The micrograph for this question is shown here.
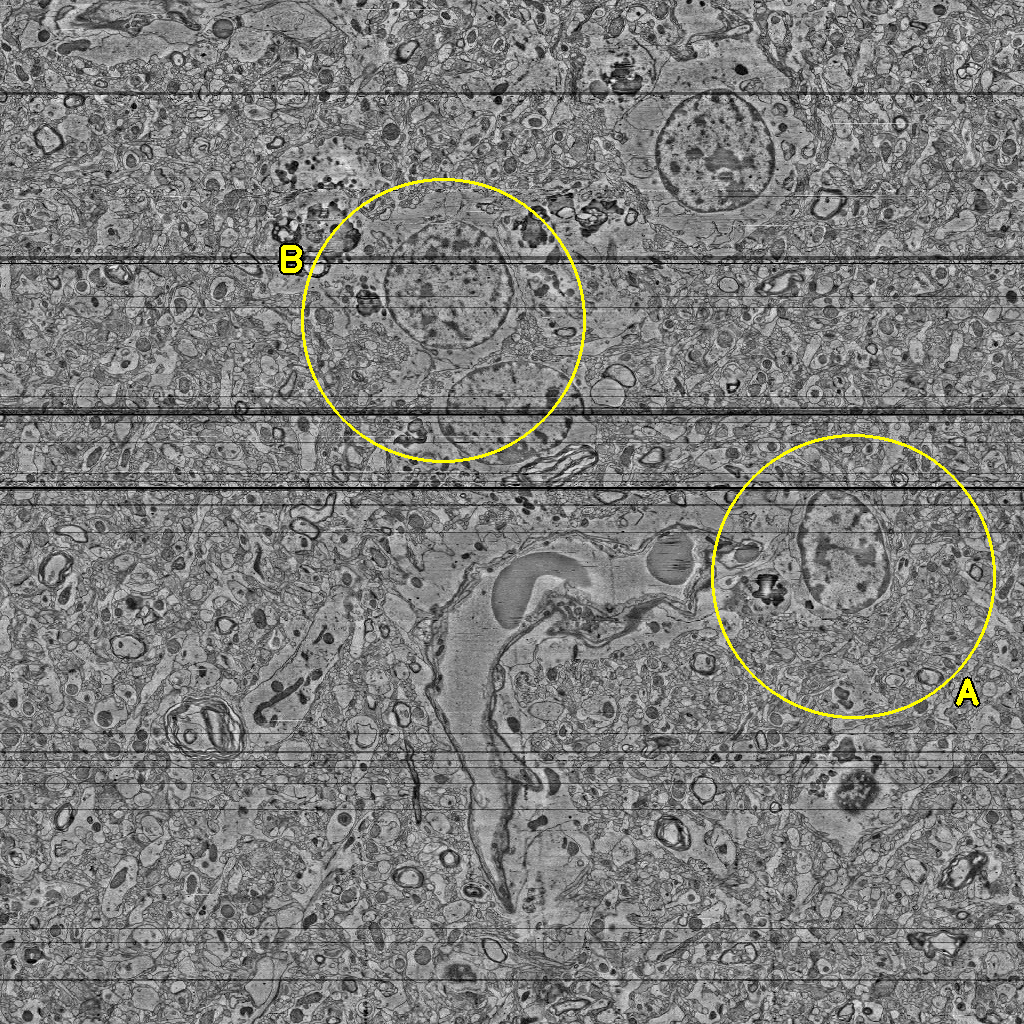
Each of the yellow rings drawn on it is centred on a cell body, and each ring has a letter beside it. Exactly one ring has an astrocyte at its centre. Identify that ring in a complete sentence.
The ring centred on it is ring B.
